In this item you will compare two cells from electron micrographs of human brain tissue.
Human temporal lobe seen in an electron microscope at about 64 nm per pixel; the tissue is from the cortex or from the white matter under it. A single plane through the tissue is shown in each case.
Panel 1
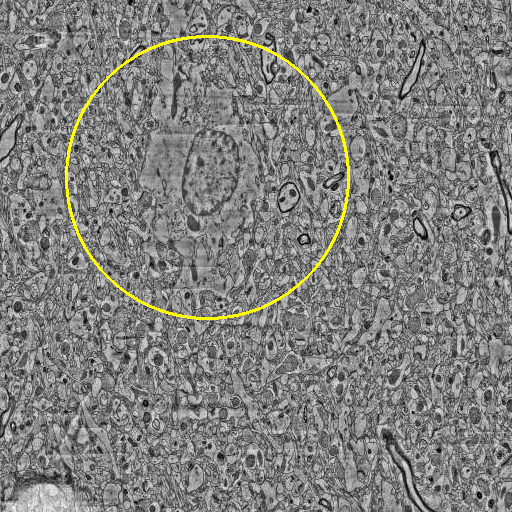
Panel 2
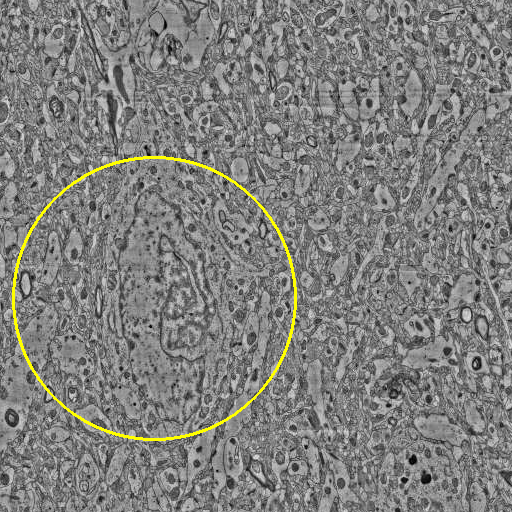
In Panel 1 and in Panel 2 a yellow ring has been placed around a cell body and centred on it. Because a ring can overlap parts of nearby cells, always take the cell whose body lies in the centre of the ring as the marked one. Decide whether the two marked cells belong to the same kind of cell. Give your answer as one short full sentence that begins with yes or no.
No, the two marked cells belong to two kinds of cell.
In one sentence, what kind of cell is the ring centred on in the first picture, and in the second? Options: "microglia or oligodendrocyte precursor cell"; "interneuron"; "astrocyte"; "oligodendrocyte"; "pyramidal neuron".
The cell at the centre of the second ring is an interneuron; the first ring's cell is an astrocyte.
